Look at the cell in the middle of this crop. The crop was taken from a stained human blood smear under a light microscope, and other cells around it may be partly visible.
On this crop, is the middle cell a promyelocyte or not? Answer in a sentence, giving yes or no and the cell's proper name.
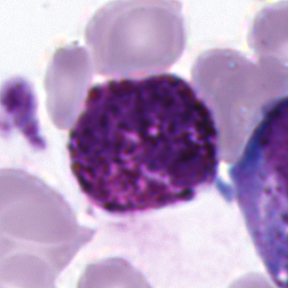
No, the cell placed in the centre is a basophil and is not a promyelocyte.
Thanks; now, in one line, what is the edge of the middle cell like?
In short, the margin is smooth with no projections at all.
